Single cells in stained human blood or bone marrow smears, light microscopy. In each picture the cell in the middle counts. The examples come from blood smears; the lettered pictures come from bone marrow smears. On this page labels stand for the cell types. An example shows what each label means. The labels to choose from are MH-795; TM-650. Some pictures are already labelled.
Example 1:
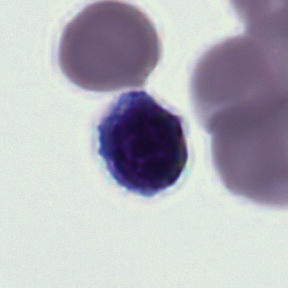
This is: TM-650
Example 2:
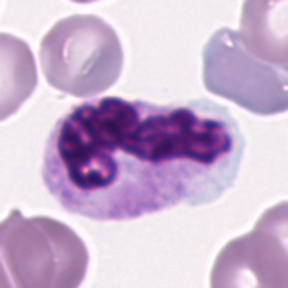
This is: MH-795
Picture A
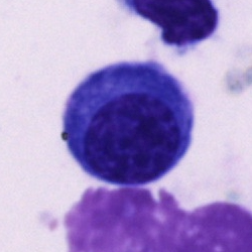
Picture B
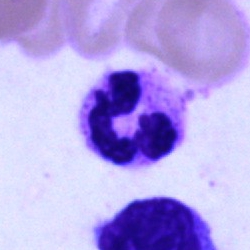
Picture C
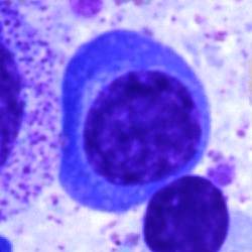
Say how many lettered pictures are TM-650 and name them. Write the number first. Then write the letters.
2, namely A, C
